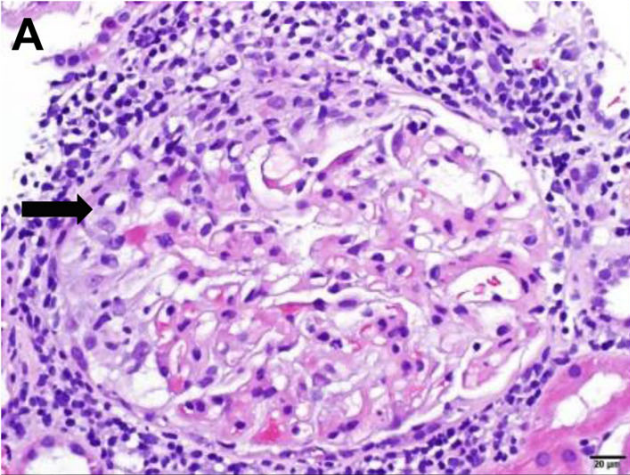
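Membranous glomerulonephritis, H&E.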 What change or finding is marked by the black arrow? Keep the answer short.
crescent like inflammation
